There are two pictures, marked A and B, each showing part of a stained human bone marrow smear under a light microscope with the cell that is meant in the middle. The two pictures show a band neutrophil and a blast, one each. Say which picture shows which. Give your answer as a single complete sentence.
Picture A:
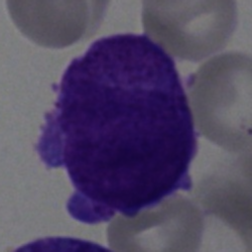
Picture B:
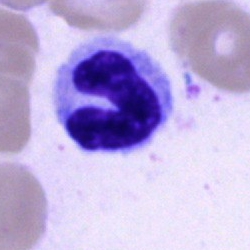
The cell in picture A is a blast, and the one in picture B is a band neutrophil.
